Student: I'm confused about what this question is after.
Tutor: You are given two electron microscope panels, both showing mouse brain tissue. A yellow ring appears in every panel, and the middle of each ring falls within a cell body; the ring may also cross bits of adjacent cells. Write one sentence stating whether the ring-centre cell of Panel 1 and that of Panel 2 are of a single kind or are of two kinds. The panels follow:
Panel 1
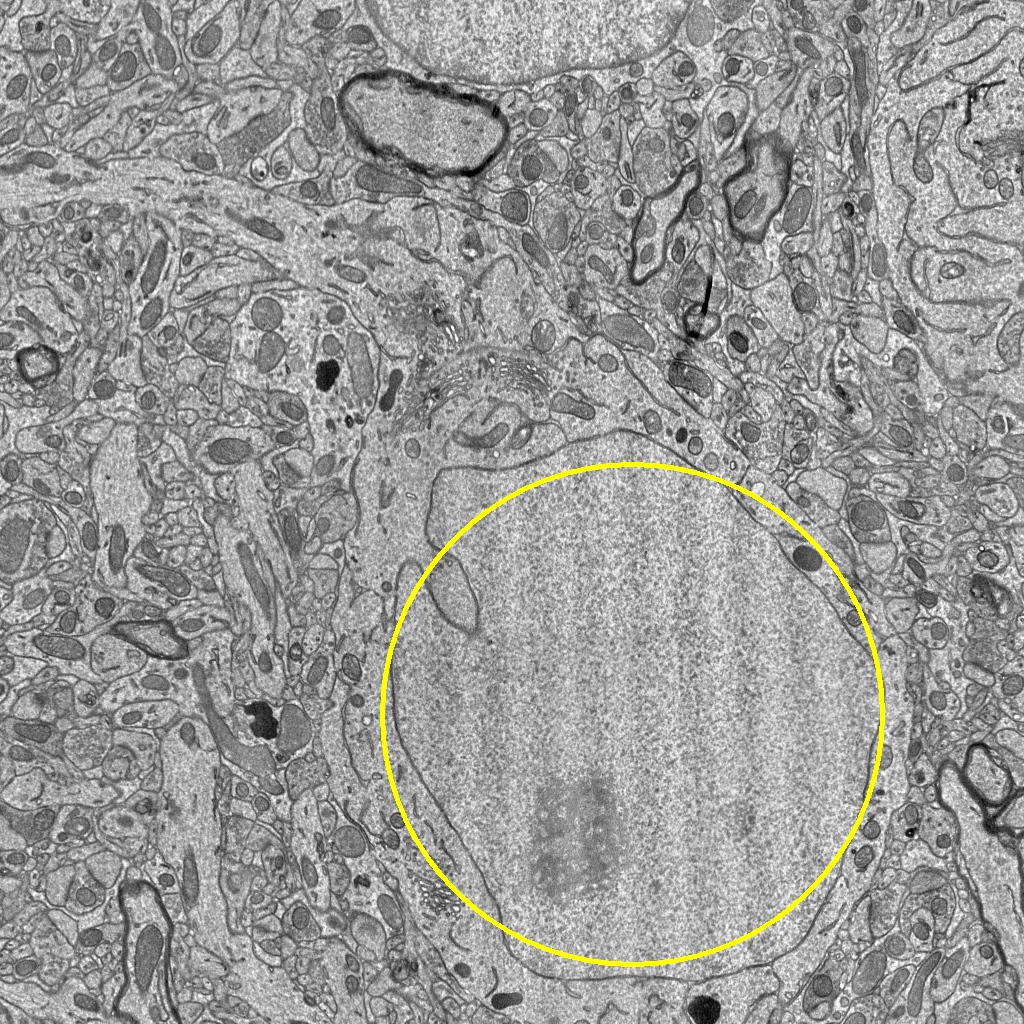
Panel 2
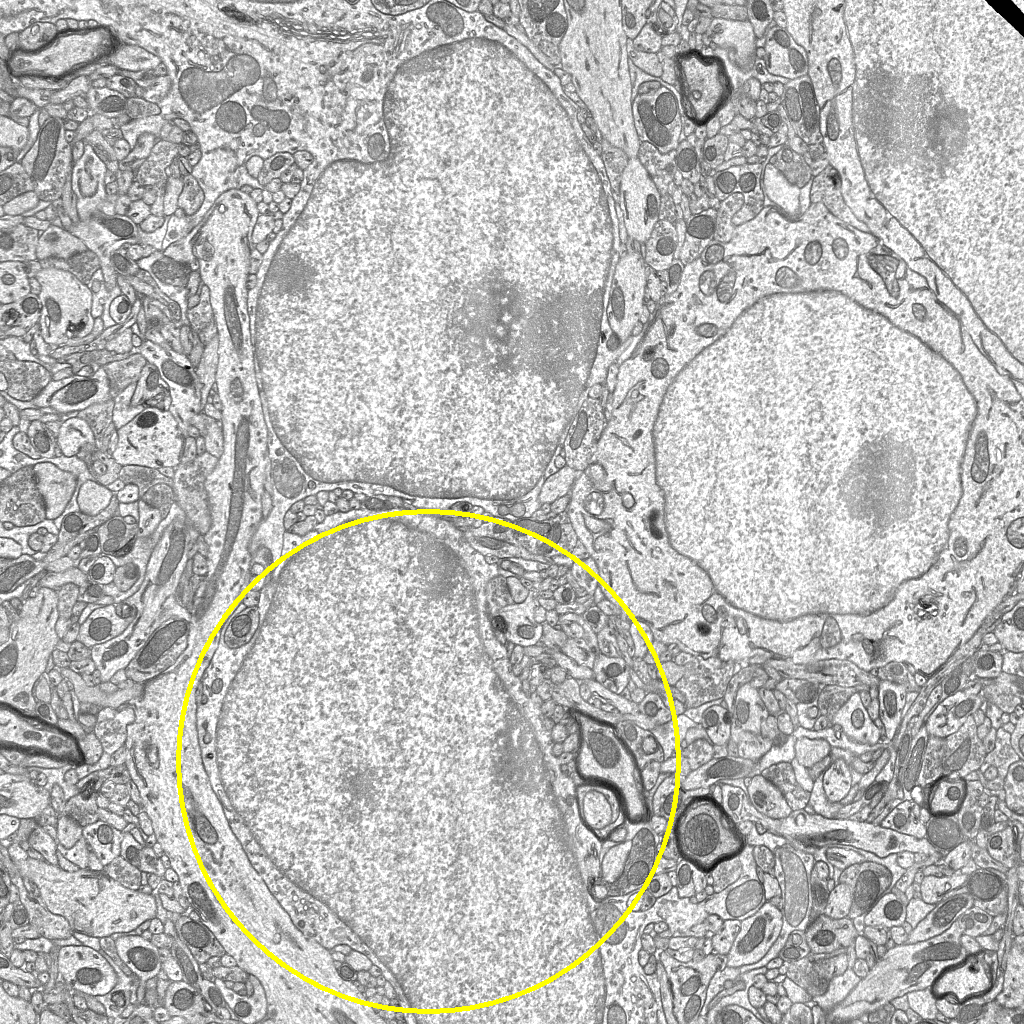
Here, the Panel 1 ring-centre cell and the Panel 2 ring-centre cell are of two kinds.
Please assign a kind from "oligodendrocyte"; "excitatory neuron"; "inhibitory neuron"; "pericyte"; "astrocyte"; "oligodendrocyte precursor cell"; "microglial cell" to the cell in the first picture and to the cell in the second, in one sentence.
The first picture has an excitatory neuron in its ring, the second has an astrocyte.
